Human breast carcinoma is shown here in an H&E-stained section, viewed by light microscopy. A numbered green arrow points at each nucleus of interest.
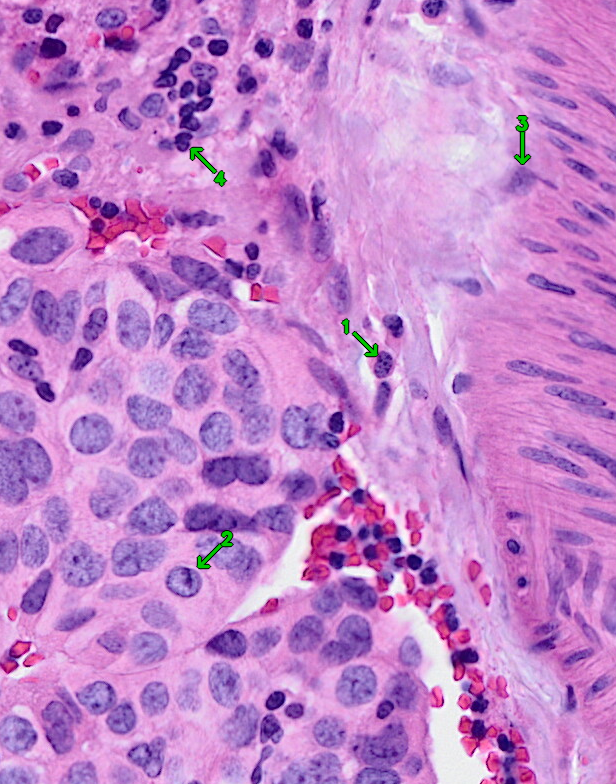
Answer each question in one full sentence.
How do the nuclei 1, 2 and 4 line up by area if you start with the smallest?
By area, going up from the smallest, they rank 4, 1, 2.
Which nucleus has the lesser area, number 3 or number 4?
With nucleus 3 about 2 times its size, nucleus 4 is the smaller of the two.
